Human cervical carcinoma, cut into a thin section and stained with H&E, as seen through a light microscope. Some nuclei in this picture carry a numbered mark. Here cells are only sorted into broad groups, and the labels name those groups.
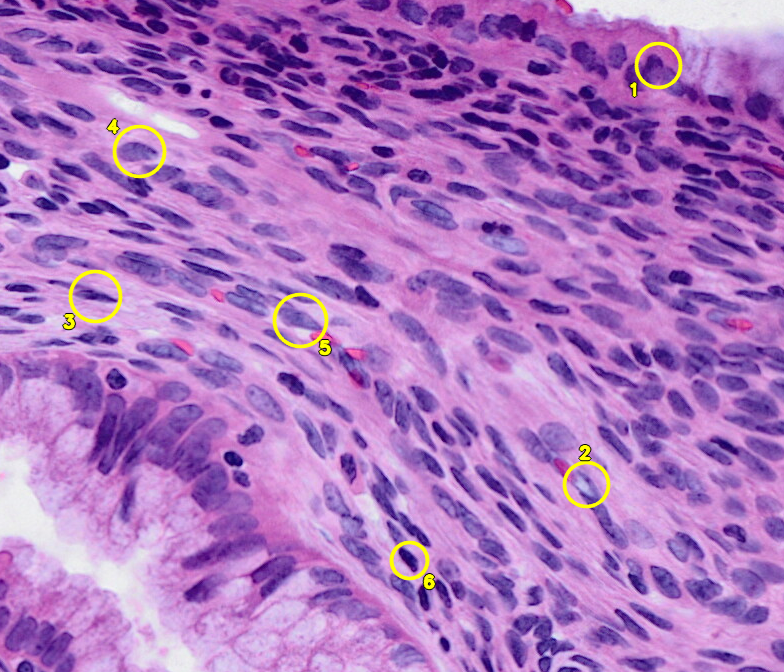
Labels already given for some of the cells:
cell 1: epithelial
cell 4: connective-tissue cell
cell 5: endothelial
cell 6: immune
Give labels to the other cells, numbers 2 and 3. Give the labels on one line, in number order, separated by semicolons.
endothelial; connective-tissue cell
